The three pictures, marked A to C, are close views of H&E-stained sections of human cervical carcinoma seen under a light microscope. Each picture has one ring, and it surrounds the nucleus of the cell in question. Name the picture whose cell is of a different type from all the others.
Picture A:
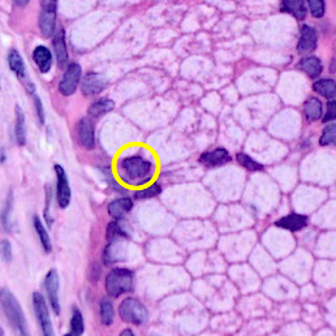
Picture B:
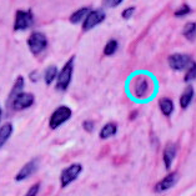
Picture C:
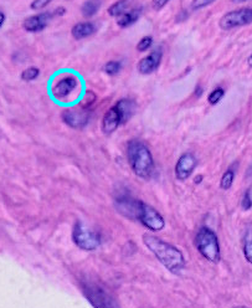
A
